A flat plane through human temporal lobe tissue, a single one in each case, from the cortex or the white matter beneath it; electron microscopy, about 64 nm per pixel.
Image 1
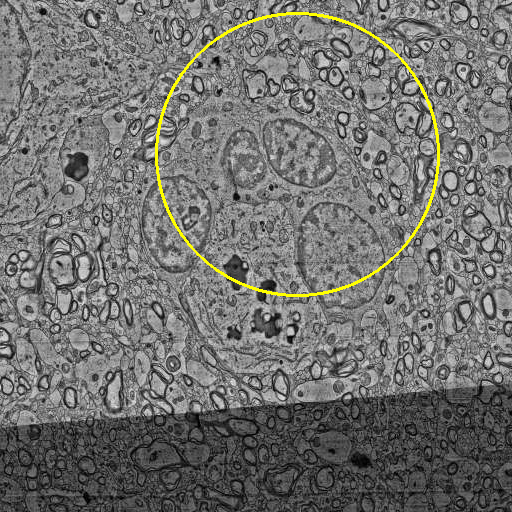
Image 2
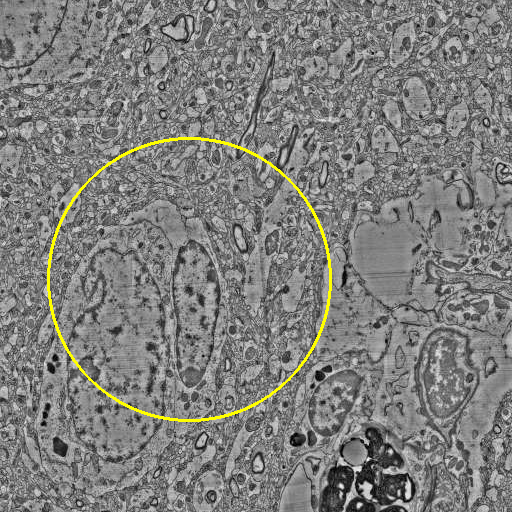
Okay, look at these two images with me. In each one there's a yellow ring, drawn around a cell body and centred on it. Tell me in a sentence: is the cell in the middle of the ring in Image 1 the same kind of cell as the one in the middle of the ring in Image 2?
No, they're two kinds of cell.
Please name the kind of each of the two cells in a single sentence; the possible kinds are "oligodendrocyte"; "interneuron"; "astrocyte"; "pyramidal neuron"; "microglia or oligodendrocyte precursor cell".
In the first picture the ring is centred on an oligodendrocyte, and in the second on a microglial cell or oligodendrocyte precursor cell.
